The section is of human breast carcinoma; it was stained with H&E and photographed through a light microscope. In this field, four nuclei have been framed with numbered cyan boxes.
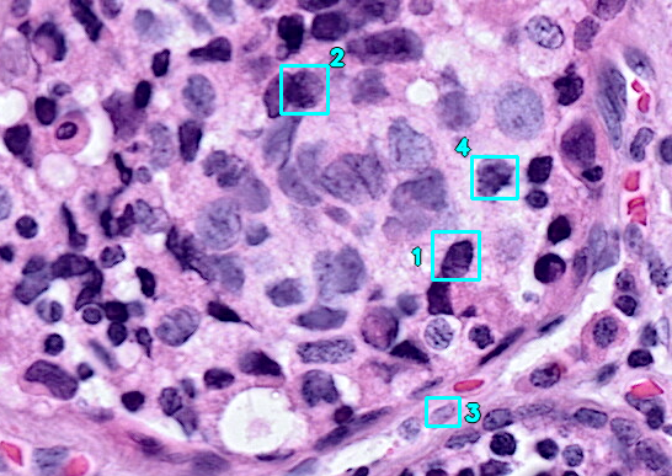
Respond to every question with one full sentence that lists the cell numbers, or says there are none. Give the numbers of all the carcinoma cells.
The numbers 1, 2 and 4 refer to cells that are carcinoma cells.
